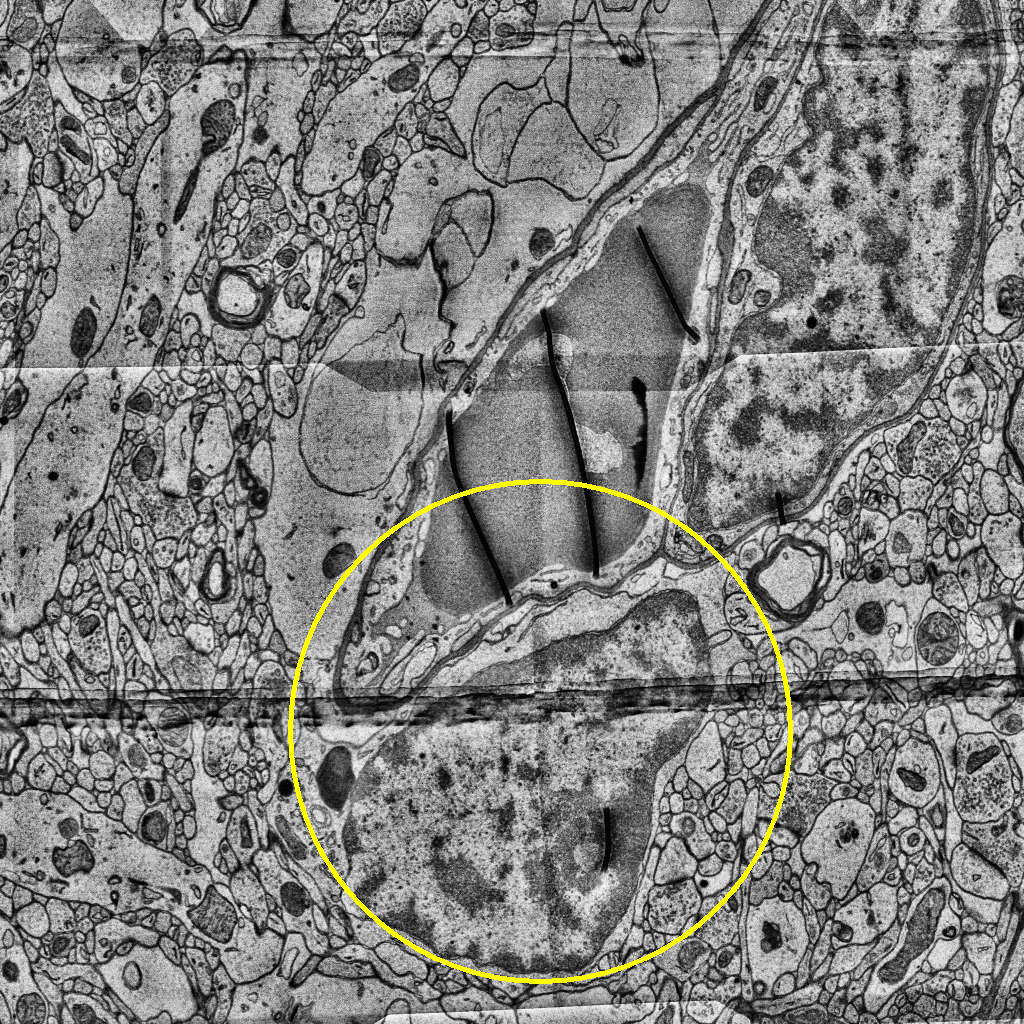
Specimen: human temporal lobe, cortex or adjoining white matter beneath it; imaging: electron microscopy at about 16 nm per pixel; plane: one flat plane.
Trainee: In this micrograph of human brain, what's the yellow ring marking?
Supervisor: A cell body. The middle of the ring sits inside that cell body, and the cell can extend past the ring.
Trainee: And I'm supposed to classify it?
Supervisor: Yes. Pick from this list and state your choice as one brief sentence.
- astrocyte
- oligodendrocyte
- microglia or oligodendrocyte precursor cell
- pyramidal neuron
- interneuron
The cell at the ring's center is a microglial cell or oligodendrocyte precursor cell.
